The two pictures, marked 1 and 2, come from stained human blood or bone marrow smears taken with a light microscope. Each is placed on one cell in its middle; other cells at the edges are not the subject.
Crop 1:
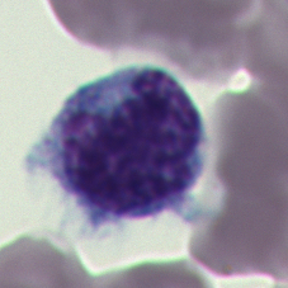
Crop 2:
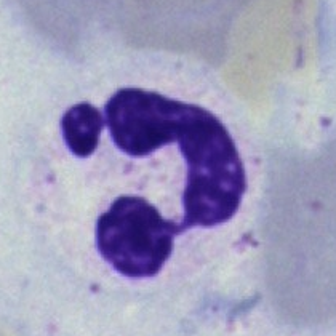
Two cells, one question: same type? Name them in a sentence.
No, crop 1 is of a monocyte, and crop 2 is of a segmented neutrophil.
